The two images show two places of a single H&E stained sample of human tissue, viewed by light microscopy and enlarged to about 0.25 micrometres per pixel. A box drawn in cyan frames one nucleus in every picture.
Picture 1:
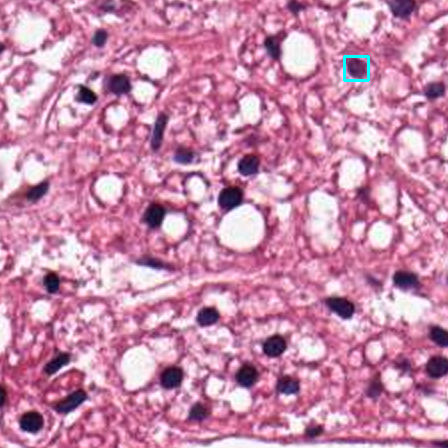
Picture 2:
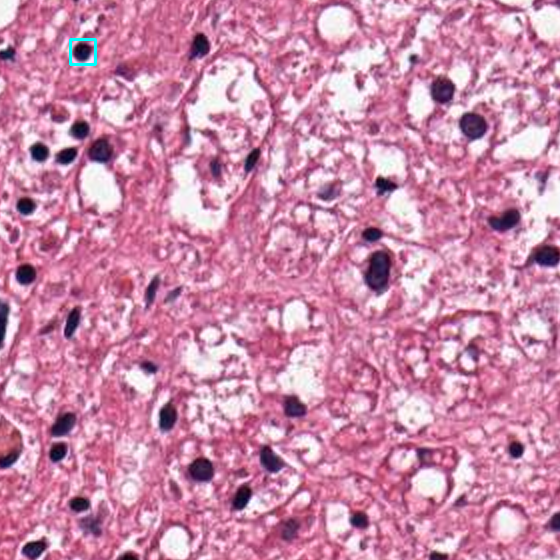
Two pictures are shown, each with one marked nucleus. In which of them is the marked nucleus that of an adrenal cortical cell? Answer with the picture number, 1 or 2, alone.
1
